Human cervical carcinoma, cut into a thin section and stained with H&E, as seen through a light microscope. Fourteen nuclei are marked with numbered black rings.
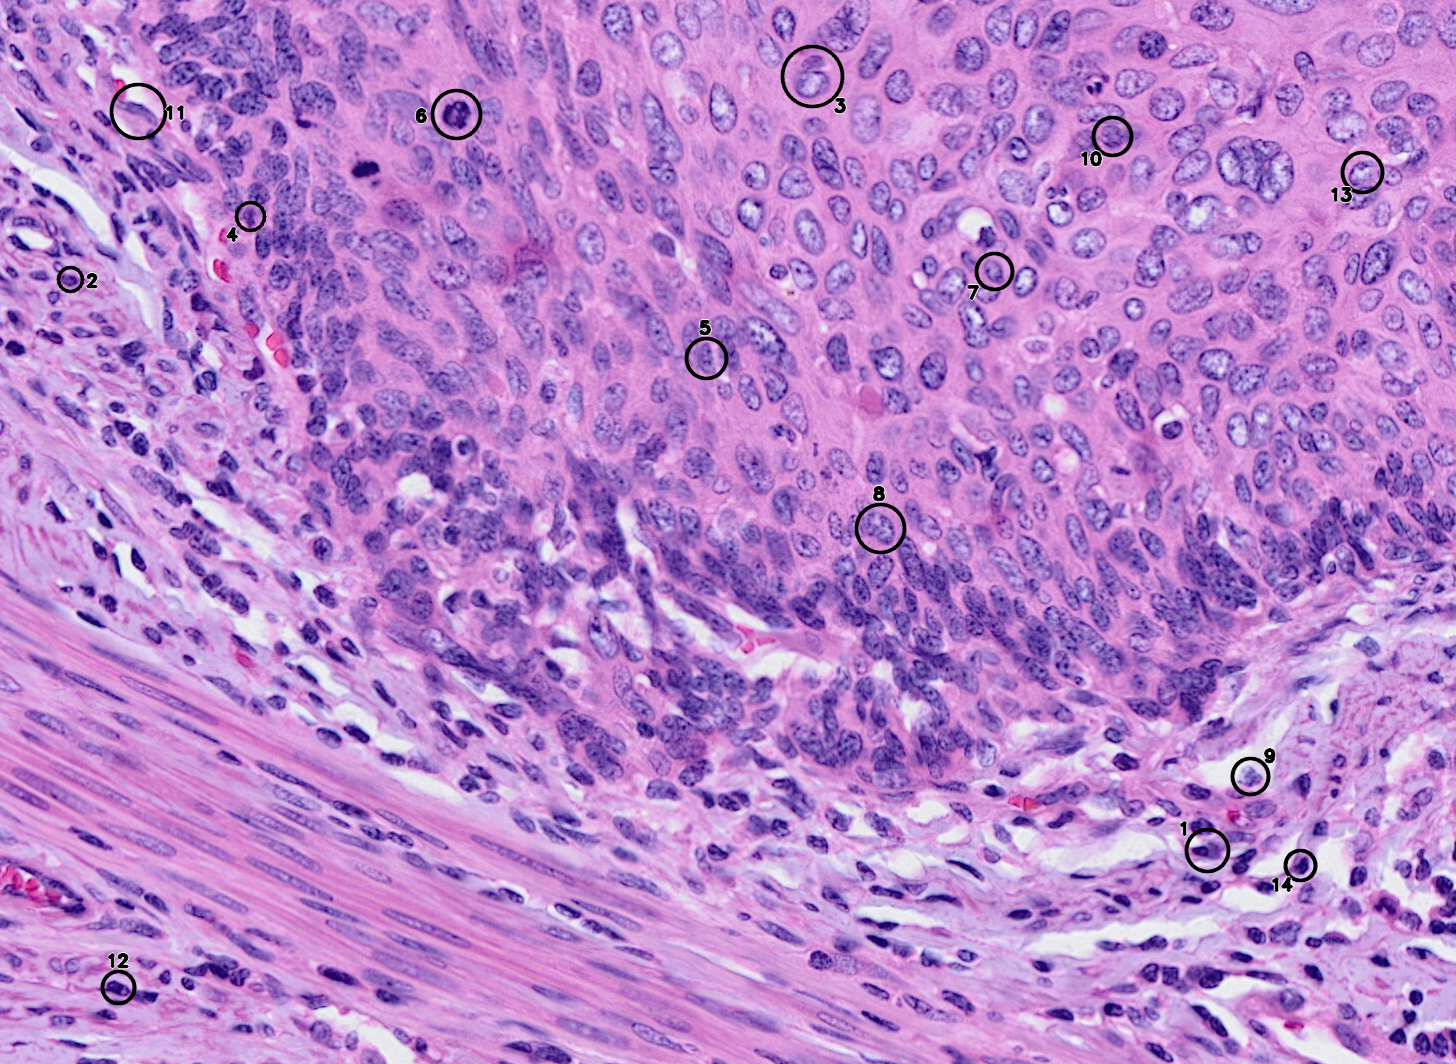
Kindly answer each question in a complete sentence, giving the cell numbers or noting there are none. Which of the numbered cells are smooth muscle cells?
Of all the numbered cells, only cell 2 is a smooth muscle cell.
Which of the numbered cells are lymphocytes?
Here, the cells that carry numbers 1, 9, 12 and 14 are lymphocytes.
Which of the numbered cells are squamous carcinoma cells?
In this section, the cells numbered 3, 4, 5, 6, 7, 8, 10 and 13 are squamous carcinoma cells.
